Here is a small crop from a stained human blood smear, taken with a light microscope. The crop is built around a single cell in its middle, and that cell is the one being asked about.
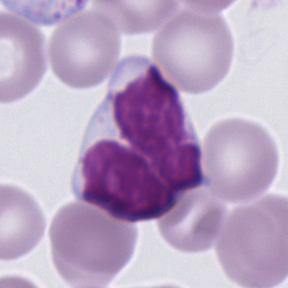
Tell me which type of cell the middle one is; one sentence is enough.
The crop centres on a single cell, and that cell is a large granular lymphocyte.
